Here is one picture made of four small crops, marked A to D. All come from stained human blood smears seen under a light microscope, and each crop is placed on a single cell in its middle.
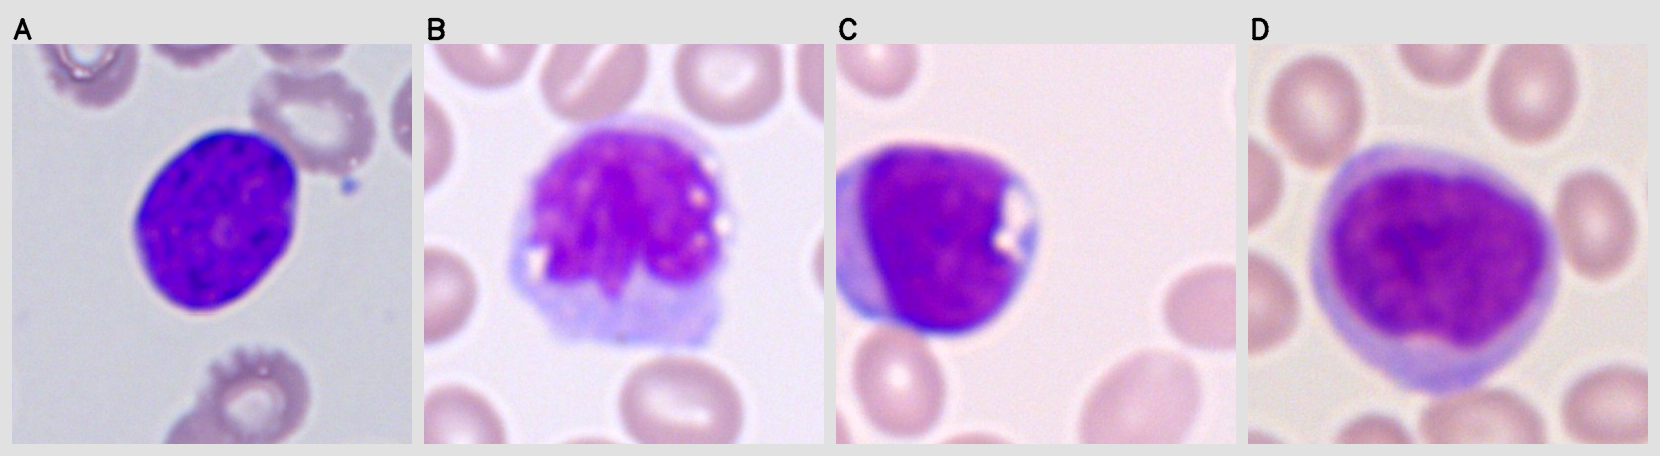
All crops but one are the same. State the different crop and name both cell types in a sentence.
Of the crops, all show myeloblasts save crop B, which shows a monocyte.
